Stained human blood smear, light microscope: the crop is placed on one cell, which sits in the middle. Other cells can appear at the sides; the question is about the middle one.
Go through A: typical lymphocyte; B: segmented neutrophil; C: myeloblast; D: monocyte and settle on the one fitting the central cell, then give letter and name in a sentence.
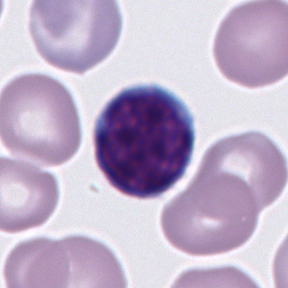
Option A is correct here, and the cell in the middle is a typical lymphocyte.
